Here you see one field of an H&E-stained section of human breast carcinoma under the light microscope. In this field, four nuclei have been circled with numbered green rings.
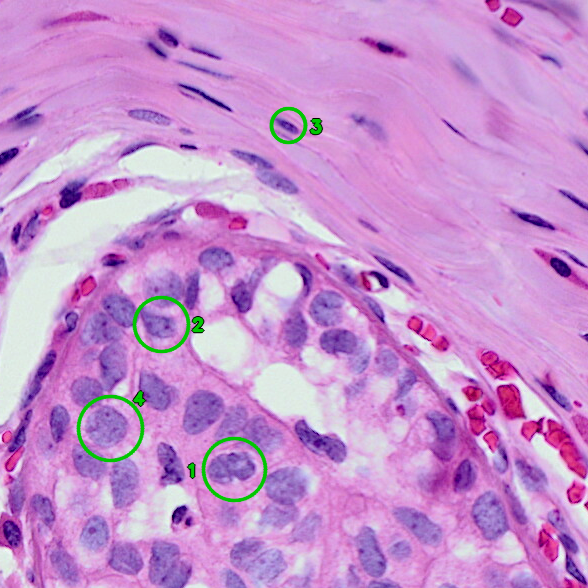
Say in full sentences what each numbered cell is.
Cells 1, 2 and 4 are carcinoma cells. Cell 3 is a fibroblast.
